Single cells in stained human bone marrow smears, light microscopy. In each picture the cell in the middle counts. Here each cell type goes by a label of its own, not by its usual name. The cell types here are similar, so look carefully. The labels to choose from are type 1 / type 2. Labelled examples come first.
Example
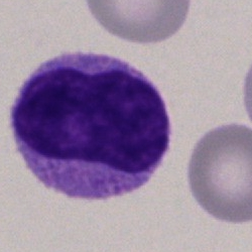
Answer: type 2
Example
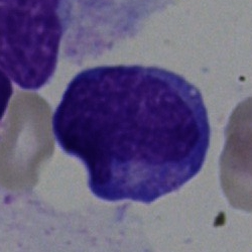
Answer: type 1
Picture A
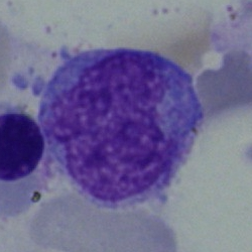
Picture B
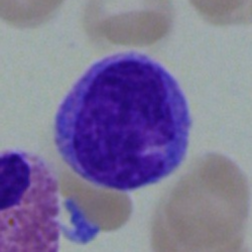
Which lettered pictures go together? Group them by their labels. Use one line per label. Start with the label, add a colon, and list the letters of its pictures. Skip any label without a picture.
type 2: A, B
